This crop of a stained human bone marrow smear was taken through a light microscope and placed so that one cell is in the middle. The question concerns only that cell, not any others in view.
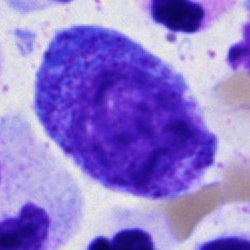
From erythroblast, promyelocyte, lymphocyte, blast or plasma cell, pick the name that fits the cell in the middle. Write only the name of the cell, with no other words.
promyelocyte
